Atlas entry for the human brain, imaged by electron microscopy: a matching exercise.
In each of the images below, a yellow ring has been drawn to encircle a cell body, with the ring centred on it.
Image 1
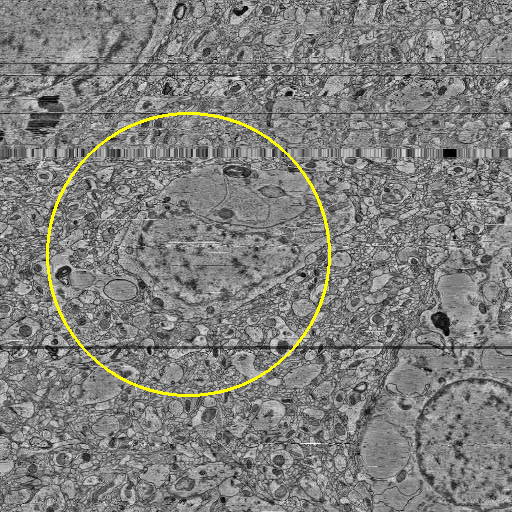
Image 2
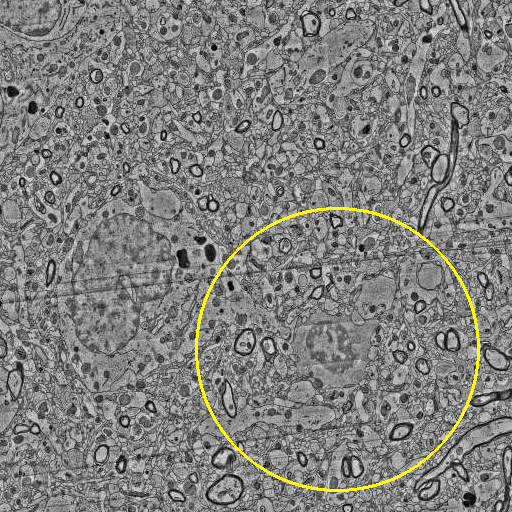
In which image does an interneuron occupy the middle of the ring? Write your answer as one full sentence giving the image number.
In image 1, the ring is centred on the cell in question.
